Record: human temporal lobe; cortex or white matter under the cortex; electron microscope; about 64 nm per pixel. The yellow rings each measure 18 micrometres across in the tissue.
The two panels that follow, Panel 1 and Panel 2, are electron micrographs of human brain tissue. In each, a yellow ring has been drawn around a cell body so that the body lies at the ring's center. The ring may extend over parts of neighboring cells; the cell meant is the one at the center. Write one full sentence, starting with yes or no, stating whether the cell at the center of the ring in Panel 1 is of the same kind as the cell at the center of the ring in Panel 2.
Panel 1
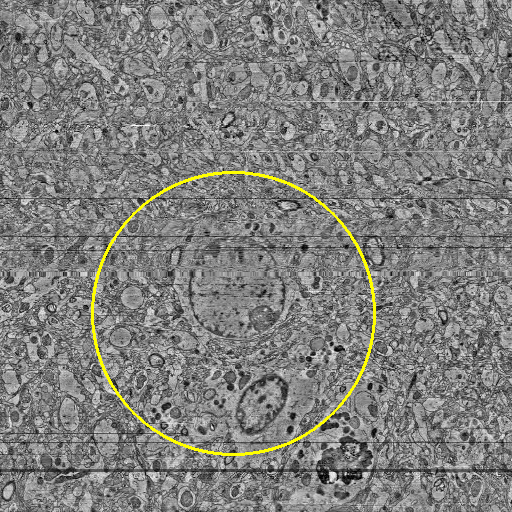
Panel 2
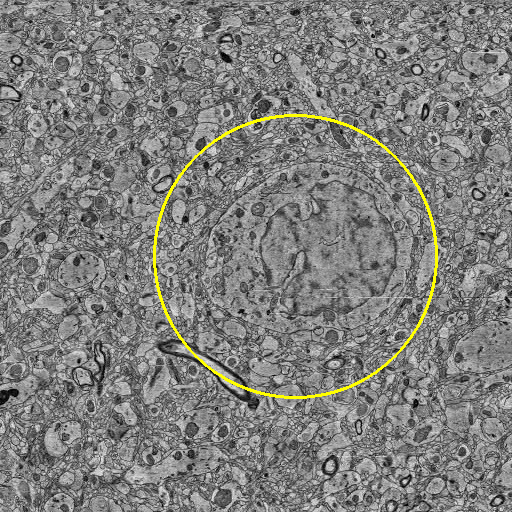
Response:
No, the cells in the two panels are of two kinds.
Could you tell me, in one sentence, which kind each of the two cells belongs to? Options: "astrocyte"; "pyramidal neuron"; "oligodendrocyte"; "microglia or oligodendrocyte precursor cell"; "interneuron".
At the centre of the first ring sits an astrocyte, and at the centre of the second sits an interneuron.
